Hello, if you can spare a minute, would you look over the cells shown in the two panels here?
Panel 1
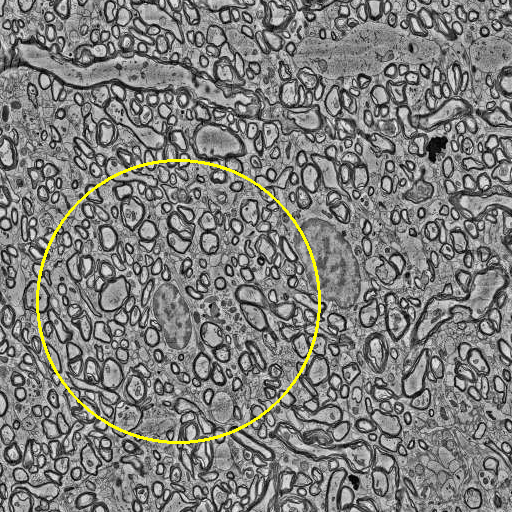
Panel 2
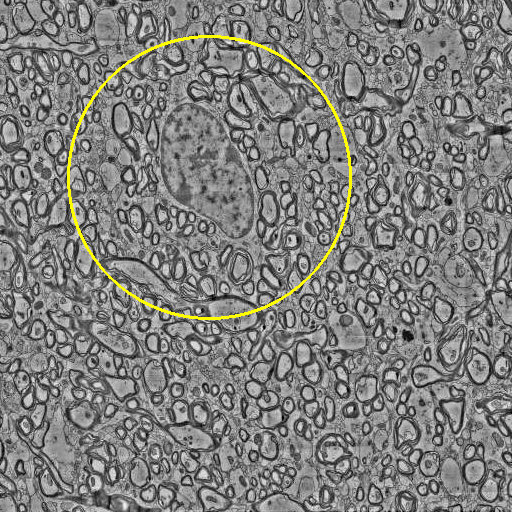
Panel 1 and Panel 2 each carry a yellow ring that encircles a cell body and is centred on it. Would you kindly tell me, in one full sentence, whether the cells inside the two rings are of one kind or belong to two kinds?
The cells at the centres of the rings in Panel 1 and Panel 2 are of one kind.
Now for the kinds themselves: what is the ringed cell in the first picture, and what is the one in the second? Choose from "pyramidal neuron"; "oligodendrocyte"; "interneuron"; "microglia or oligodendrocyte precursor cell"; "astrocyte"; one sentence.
Each cell at the centre of a ring is a microglial cell or oligodendrocyte precursor cell.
